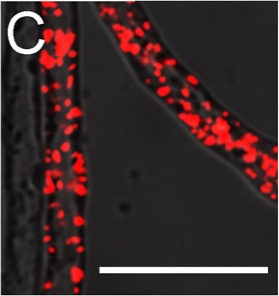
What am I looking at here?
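Two pollen tubes are seen as long tubular cells with smooth walls in a merged transmitted-light and red fluorescence image. Both tubes contain many bright red puncta spread along their length. The tube on the left runs vertically and the tube on the right curves across the upper right of the field. The background between the tubes is grey and without red dots.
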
